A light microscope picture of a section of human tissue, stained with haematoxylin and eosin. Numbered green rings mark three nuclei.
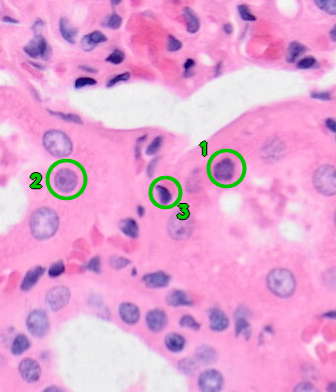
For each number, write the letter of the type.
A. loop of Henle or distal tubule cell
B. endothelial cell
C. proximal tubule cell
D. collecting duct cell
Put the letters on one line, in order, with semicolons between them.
C; C; B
